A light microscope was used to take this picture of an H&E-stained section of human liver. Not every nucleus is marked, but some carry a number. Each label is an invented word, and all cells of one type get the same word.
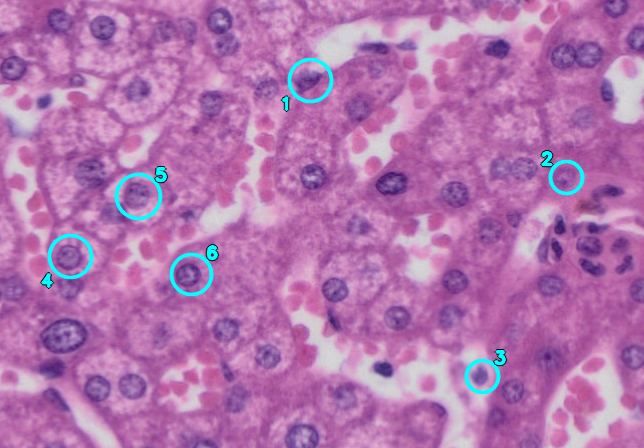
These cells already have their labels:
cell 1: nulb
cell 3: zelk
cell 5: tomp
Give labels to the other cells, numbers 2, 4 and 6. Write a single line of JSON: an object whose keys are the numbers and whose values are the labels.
{"2": "tomp", "4": "tomp", "6": "tomp"}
